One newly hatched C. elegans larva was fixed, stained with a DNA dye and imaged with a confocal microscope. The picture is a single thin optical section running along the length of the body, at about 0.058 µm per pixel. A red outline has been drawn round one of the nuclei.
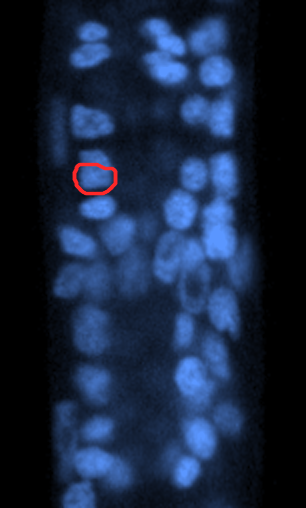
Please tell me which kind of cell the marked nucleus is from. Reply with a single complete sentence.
The marked cell is a pharyngeal muscle cell.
